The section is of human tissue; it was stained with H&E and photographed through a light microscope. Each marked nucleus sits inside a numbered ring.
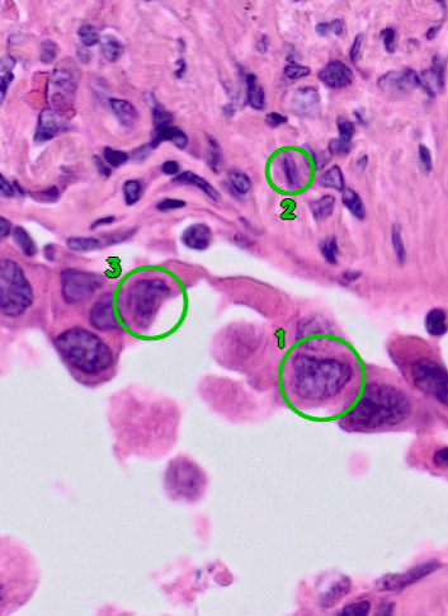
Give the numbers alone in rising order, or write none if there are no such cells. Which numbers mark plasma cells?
2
